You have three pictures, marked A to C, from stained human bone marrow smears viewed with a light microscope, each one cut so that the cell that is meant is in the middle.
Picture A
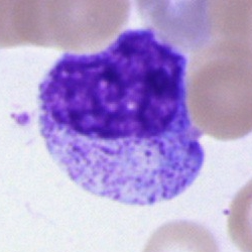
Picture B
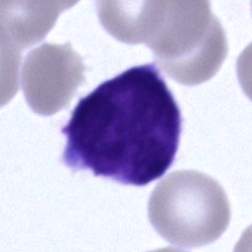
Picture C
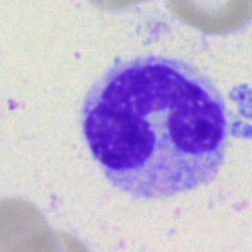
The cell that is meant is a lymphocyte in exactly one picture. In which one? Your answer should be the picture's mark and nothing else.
B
